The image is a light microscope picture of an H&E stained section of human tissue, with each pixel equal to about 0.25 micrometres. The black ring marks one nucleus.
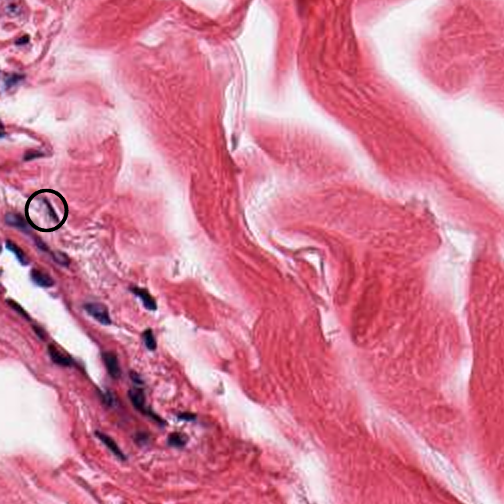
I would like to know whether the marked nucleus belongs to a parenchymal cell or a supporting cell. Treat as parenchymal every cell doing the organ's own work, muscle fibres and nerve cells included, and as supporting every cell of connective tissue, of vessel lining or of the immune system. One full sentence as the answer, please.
A supporting cell is the owner of the marked nucleus.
